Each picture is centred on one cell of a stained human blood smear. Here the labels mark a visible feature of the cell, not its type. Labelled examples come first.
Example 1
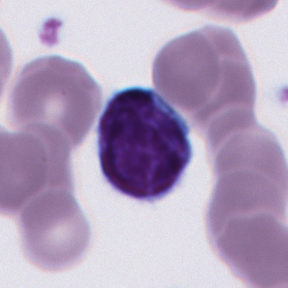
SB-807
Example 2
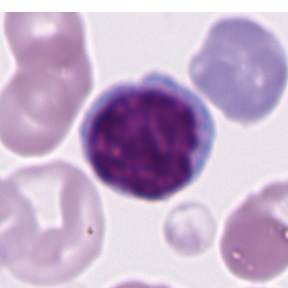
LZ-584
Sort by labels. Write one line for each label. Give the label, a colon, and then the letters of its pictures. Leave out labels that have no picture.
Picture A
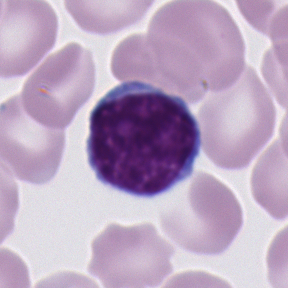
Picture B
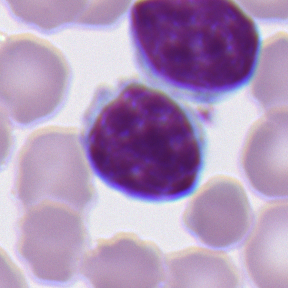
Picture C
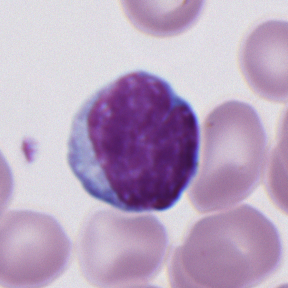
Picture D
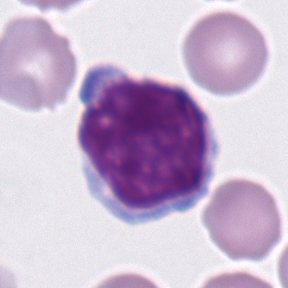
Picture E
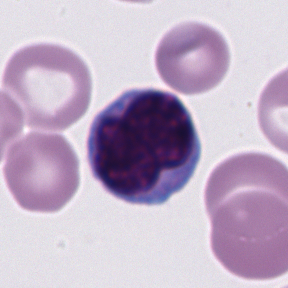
SB-807: A, C, E
LZ-584: B, D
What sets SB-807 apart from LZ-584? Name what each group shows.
Seen in SB-807: smooth outline; seen in LZ-584: ragged outline or projections.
